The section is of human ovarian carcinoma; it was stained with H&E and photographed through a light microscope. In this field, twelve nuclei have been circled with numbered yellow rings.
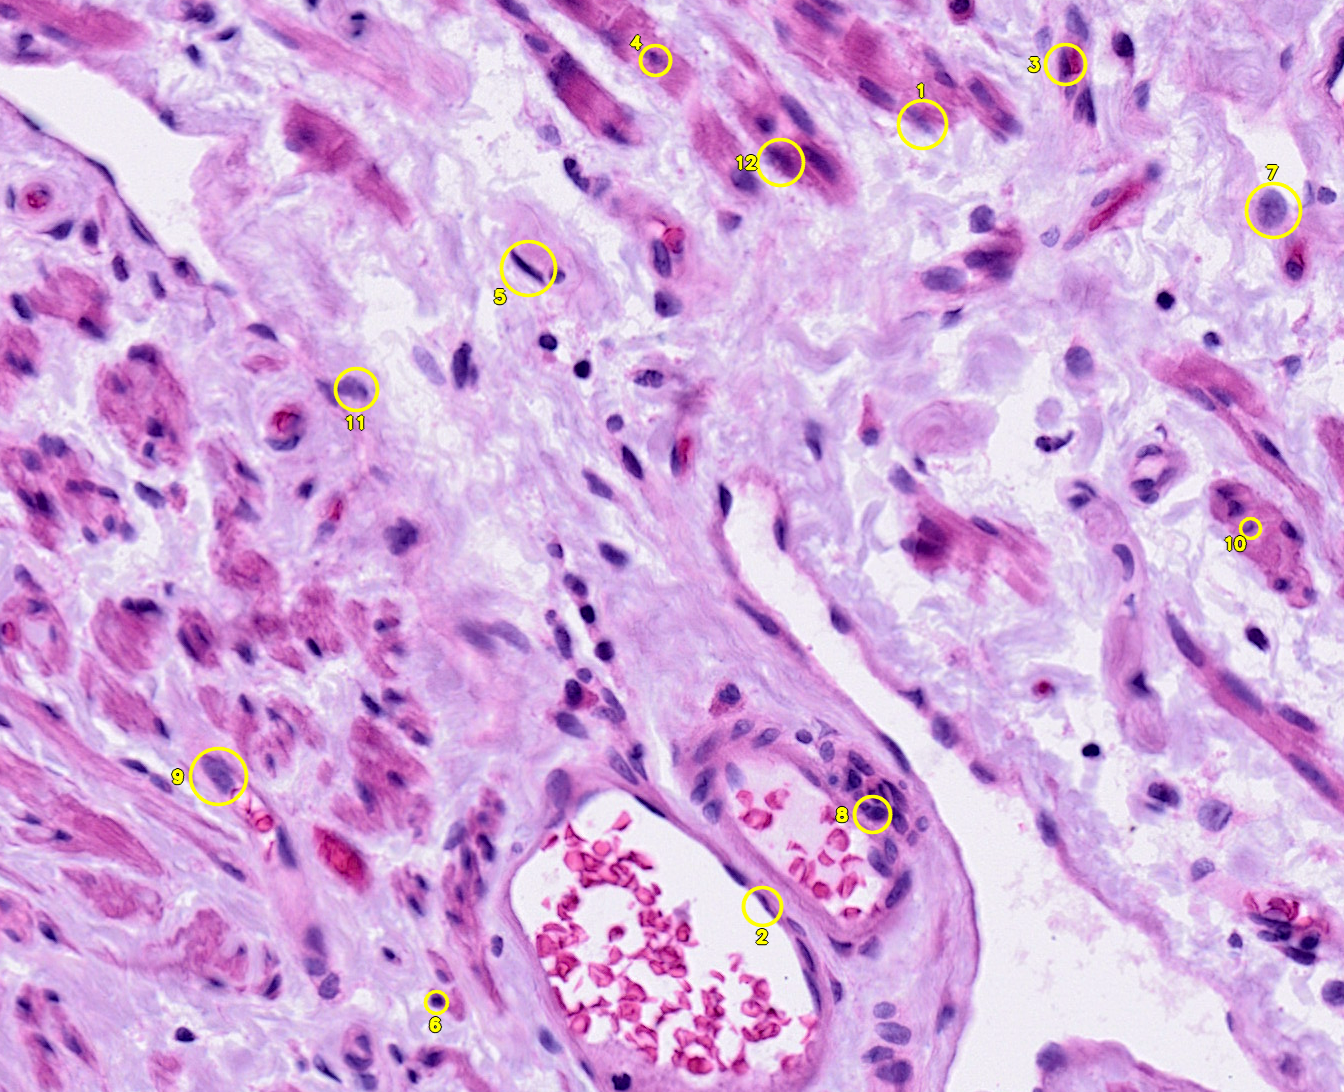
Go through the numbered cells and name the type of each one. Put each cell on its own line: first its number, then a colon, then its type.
1: smooth muscle cell
2: endothelial cell
3: endothelial cell
4: smooth muscle cell
5: fibroblast
6: smooth muscle cell
7: endothelial cell
8: endothelial cell
9: endothelial cell
10: smooth muscle cell
11: fibroblast
12: smooth muscle cell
